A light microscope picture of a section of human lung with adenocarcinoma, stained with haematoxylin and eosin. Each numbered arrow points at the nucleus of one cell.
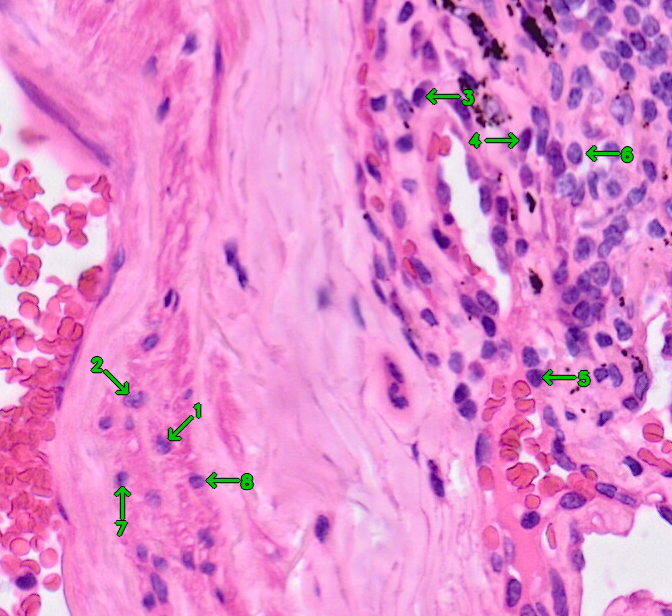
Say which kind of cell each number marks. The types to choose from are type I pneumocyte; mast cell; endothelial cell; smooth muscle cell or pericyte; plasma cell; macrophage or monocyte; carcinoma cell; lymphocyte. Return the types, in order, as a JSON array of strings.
["smooth muscle cell or pericyte", "smooth muscle cell or pericyte", "plasma cell", "plasma cell", "lymphocyte", "lymphocyte", "smooth muscle cell or pericyte", "smooth muscle cell or pericyte"]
